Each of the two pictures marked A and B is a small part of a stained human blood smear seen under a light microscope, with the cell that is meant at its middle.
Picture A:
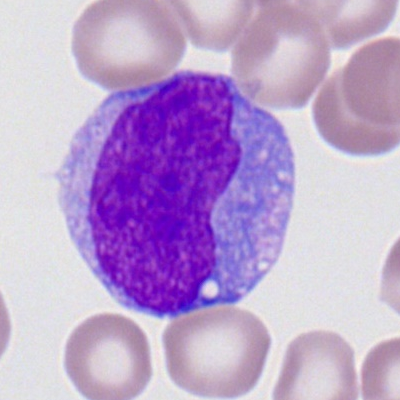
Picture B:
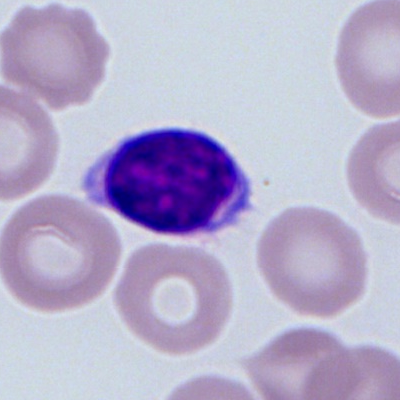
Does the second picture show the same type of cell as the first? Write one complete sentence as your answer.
No; the cell in picture A is a monocyte, while the one in picture B is a lymphocyte.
